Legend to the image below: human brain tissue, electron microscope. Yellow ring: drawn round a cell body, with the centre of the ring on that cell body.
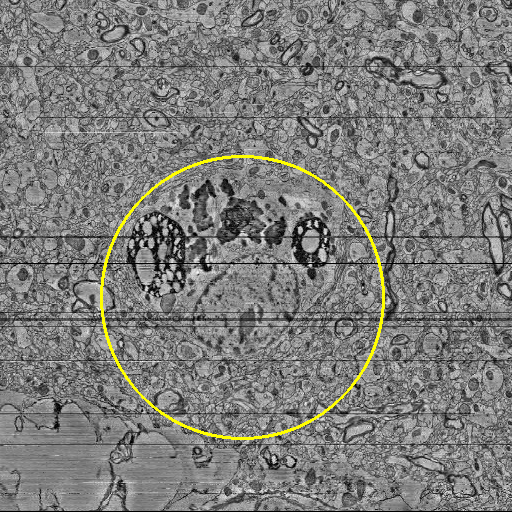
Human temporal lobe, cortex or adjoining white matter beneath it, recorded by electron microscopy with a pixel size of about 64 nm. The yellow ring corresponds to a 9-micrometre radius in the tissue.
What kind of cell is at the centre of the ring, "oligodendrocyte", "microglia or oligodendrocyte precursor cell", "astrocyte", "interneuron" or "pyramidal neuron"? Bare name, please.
astrocyte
